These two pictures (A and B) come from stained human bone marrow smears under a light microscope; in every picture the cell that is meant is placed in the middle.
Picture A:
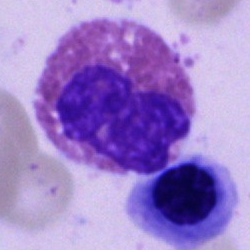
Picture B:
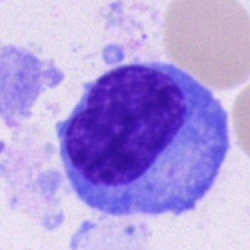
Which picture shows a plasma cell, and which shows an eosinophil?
A: eosinophil
B: plasma cell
